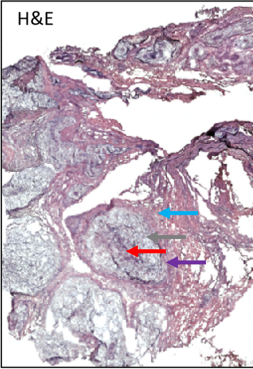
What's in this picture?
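Bands of denser pink fibrous tissue form a capsule around each fascicle. Between the fascicles lies looser, wavy pink collagen-rich tissue, and some areas of this tissue stain darker purple. Individual cells cannot be resolved at this magnification, so the picture is one of tissue architecture.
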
